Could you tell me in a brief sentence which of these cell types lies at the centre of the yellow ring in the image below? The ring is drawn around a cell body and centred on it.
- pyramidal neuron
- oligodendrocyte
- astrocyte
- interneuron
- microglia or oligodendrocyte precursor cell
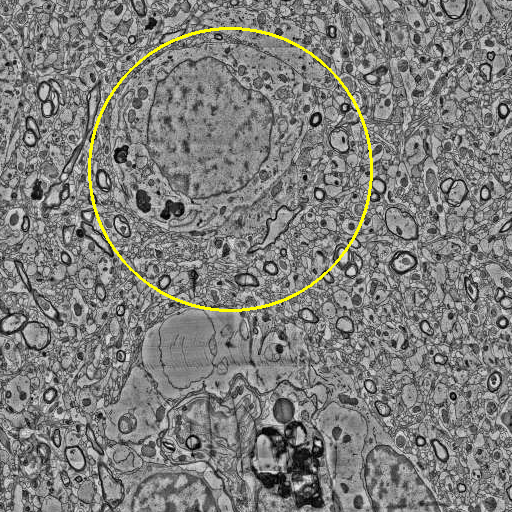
The cell centred in the ring is an oligodendrocyte.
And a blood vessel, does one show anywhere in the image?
Yes, the image shows a blood vessel.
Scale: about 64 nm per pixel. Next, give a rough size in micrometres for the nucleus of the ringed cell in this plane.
Roughly 9 micrometers across, in this plane.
